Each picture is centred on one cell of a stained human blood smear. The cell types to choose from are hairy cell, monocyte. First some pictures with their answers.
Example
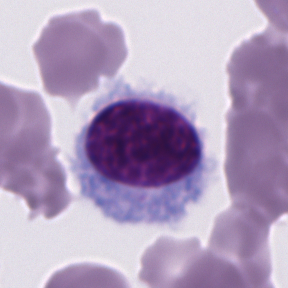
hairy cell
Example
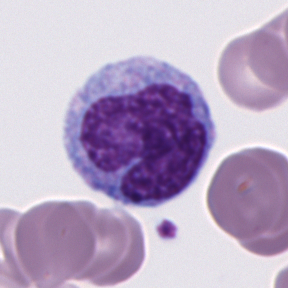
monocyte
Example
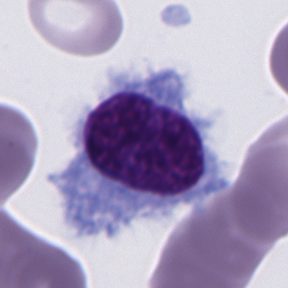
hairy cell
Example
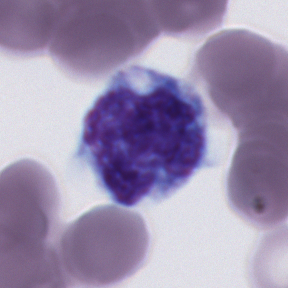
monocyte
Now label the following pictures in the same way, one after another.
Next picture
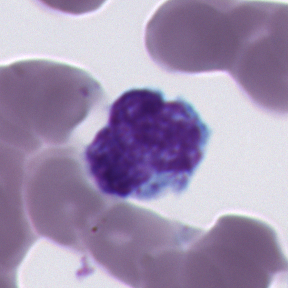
monocyte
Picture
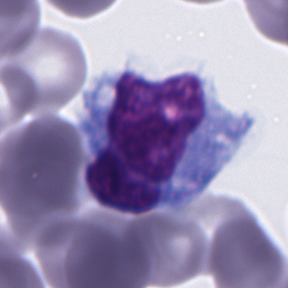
monocyte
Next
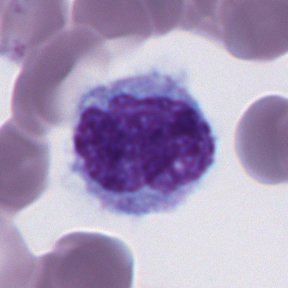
monocyte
